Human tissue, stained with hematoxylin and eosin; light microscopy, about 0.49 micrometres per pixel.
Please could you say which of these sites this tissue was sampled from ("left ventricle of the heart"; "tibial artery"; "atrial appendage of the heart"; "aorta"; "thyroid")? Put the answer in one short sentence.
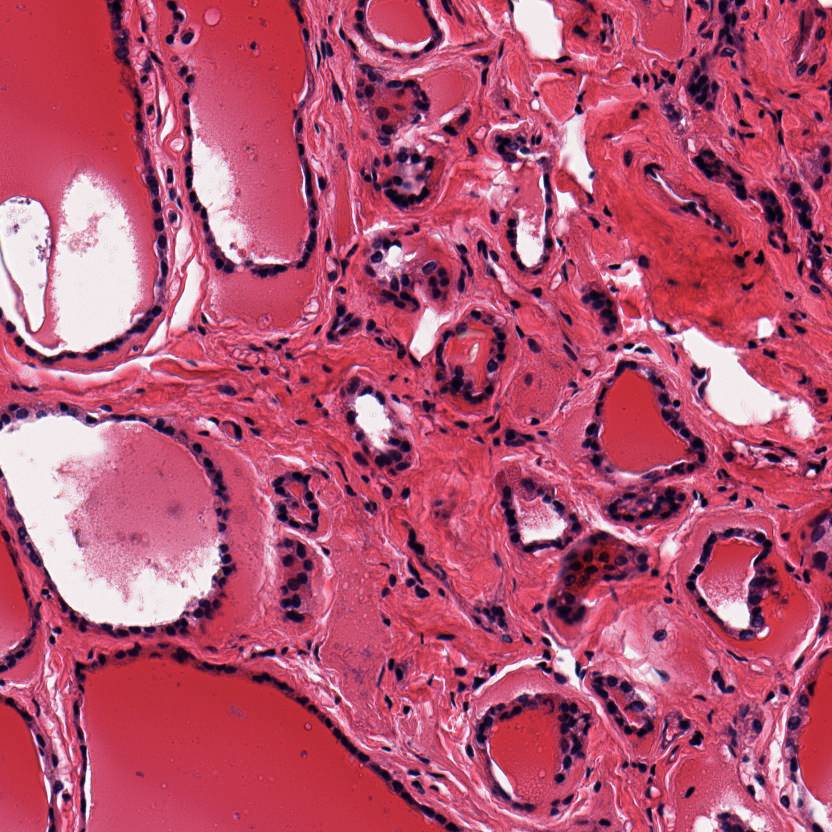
The site this tissue was sampled from is the thyroid.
